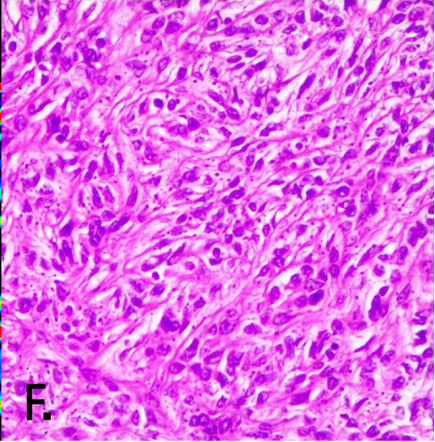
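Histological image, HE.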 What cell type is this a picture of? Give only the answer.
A: short spindle cells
